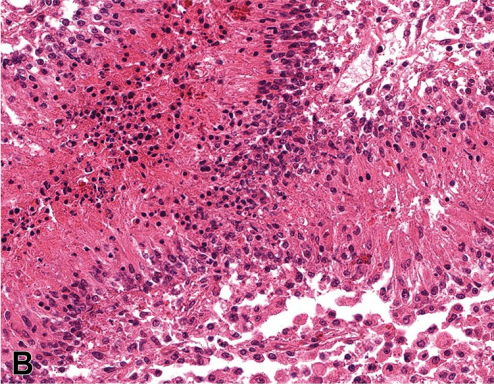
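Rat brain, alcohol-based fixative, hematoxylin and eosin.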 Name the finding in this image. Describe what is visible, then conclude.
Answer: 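Palisading around necrotic areas. Nuclei crowded in a band at the edge of a pale pink area. Elongated cells with pink fibrillary cytoplasm.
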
